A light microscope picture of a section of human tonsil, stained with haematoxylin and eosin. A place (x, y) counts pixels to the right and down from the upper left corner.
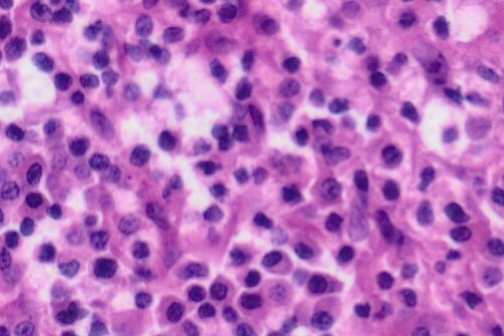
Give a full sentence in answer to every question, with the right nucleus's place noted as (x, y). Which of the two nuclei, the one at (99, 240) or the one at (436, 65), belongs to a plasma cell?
Of these two nuclei, only the one at (99, 240) belongs to a plasma cell.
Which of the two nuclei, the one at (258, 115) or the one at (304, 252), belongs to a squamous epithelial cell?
Of the two candidate nuclei, the one at (258, 115) is that of a squamous epithelial cell.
